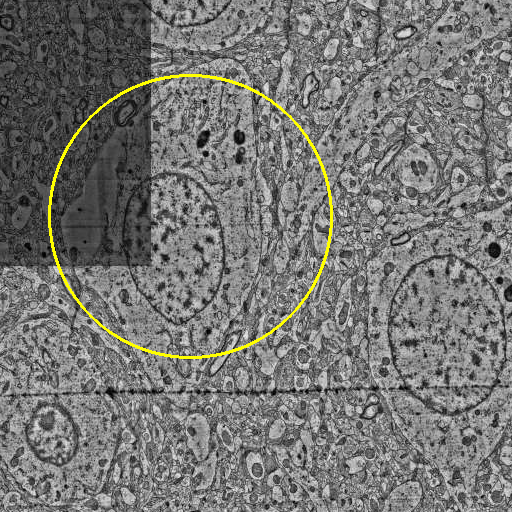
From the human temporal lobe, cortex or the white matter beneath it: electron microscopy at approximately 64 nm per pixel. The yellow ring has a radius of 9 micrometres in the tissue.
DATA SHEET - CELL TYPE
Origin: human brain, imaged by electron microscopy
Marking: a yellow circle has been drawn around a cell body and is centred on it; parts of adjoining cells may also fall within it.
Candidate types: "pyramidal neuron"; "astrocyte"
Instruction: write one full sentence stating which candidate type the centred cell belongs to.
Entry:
The cell body at the centre of the yellow ring in this micrograph belongs to a pyramidal neuron.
